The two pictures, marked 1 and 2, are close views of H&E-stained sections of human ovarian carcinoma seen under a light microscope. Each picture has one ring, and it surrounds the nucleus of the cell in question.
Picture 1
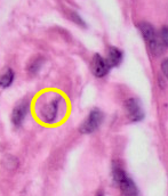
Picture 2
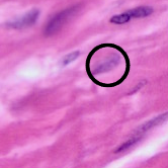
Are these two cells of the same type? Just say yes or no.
yes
